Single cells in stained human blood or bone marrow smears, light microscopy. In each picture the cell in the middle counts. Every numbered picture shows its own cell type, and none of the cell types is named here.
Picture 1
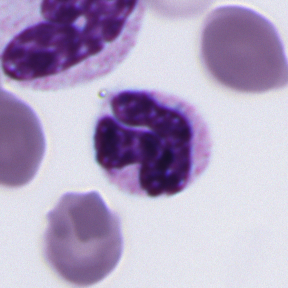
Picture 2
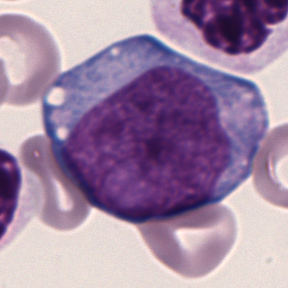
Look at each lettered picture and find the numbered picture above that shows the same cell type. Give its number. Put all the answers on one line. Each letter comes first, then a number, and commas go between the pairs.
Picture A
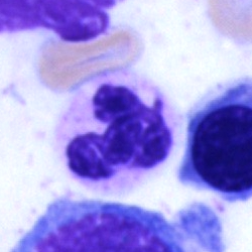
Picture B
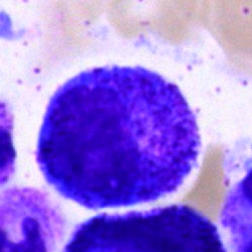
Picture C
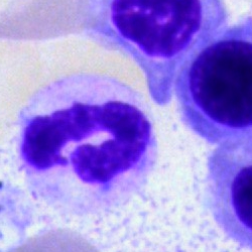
A 1, B 2, C 1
